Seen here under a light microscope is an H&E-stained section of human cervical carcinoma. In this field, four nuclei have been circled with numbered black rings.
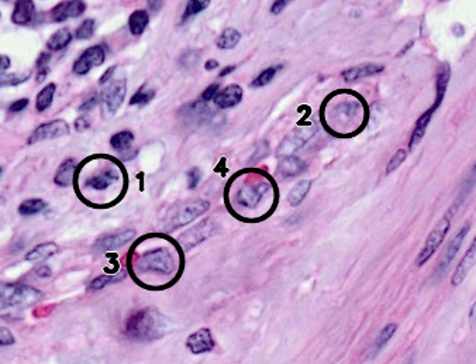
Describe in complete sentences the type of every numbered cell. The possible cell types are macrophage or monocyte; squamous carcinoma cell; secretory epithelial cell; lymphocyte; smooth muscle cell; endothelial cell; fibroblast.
Cell 1 is a lymphocyte. Cells 2, 3 and 4 are endothelial cells.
